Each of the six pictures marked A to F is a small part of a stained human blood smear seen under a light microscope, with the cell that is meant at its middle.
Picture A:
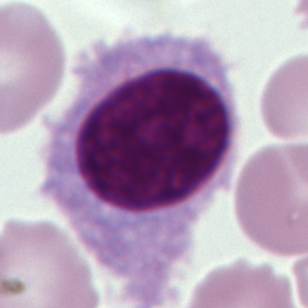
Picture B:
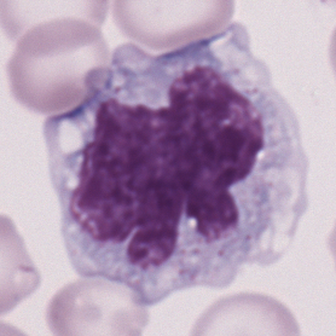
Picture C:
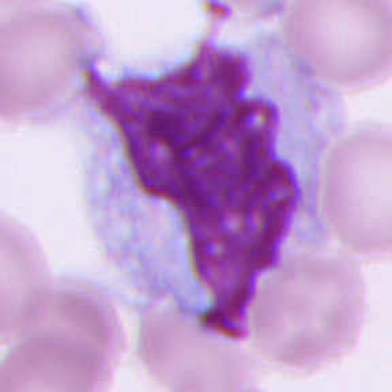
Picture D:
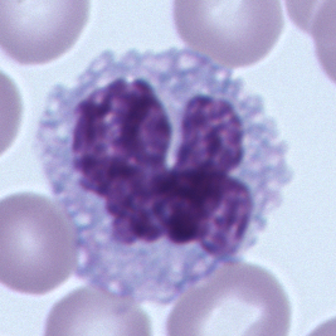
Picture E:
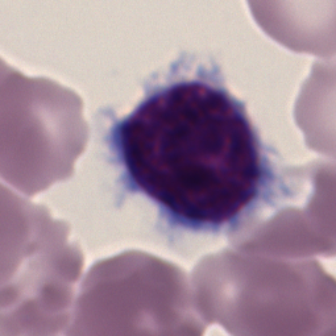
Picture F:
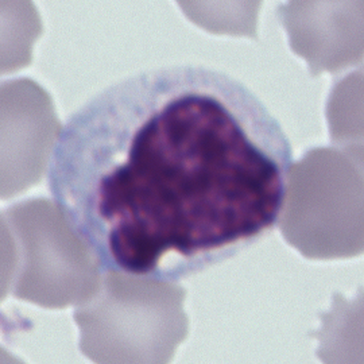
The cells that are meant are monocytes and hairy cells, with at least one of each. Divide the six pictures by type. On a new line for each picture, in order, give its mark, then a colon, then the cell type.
A: hairy cell
B: monocyte
C: monocyte
D: monocyte
E: hairy cell
F: monocyte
